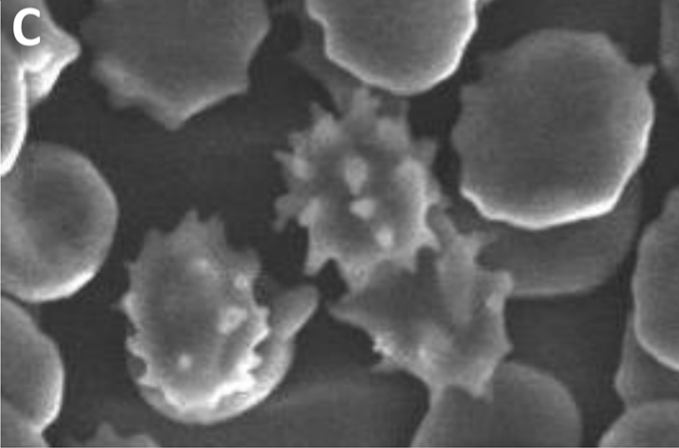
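Several cells in the centre are shrunken and irregular, covered with numerous short, pointed spiky projections over their surfaces and edges. Other cells around them are flattened with uneven, notched or scalloped margins and a few small projections along the rim. Few cells retain the smooth round outline with a central depression.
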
